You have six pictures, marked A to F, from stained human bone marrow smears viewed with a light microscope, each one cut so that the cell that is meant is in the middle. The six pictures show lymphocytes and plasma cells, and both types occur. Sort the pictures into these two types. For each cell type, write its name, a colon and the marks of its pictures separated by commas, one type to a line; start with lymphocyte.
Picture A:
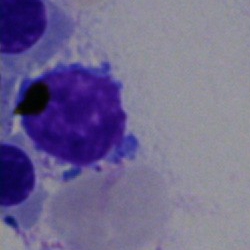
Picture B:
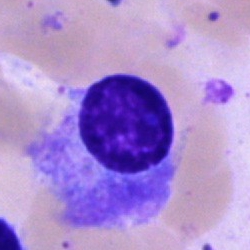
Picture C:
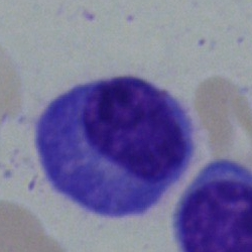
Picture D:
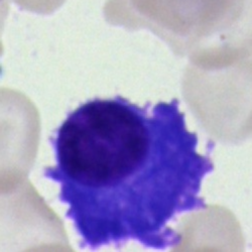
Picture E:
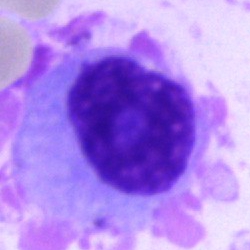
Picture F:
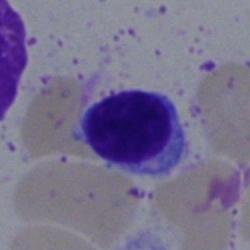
lymphocyte: A, F
plasma cell: B, C, D, E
